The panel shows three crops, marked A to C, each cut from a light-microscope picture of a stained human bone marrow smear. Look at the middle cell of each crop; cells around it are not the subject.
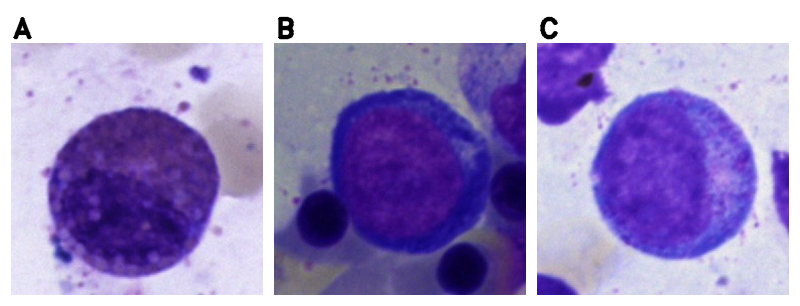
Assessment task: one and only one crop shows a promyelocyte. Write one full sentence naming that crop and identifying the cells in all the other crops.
For crop C the cell is a promyelocyte, while crop A is an eosinophil and crop B is a proerythroblast.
